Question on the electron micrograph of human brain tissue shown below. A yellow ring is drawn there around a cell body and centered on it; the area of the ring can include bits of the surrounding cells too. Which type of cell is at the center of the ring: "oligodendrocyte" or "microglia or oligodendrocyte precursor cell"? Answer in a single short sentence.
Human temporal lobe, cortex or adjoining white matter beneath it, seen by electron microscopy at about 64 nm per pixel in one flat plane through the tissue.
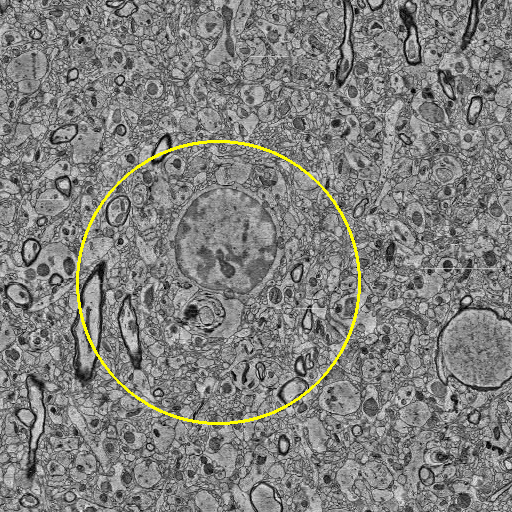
The ring is centered on an oligodendrocyte.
